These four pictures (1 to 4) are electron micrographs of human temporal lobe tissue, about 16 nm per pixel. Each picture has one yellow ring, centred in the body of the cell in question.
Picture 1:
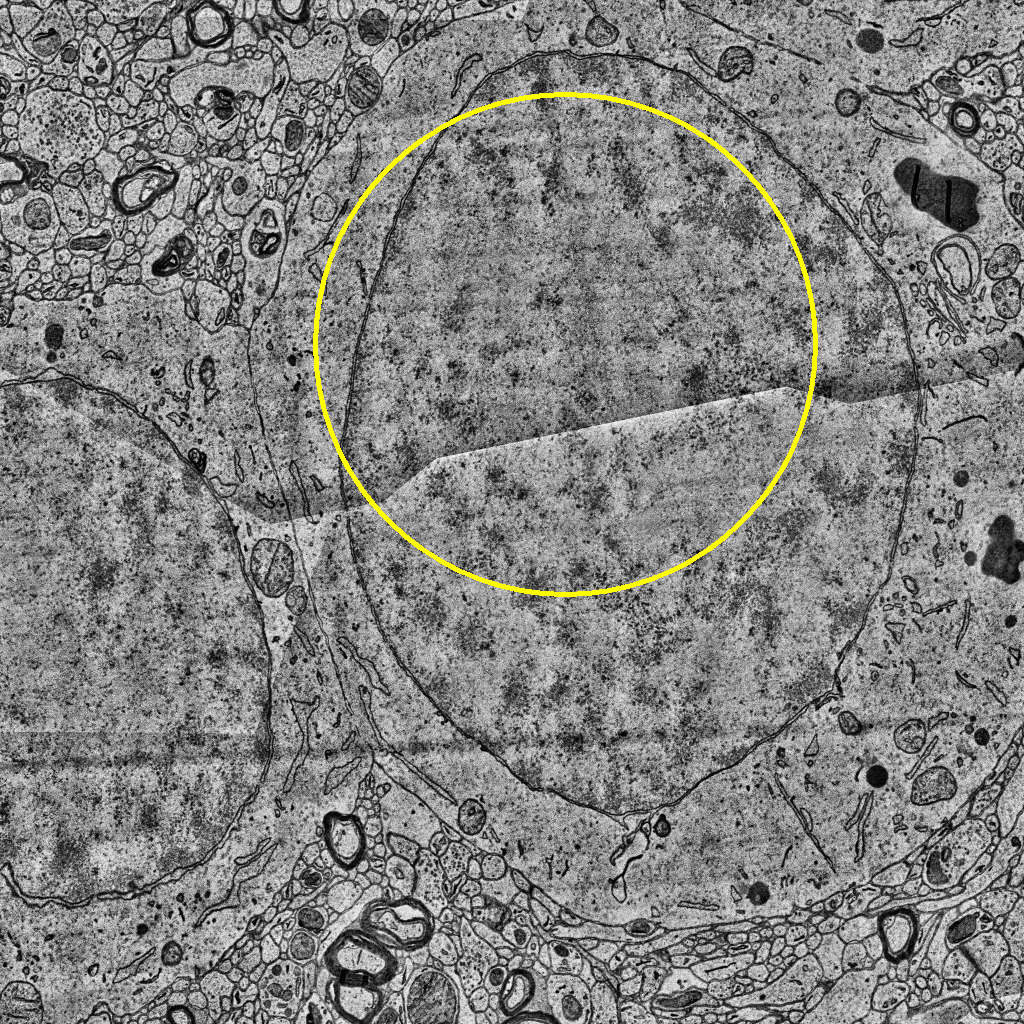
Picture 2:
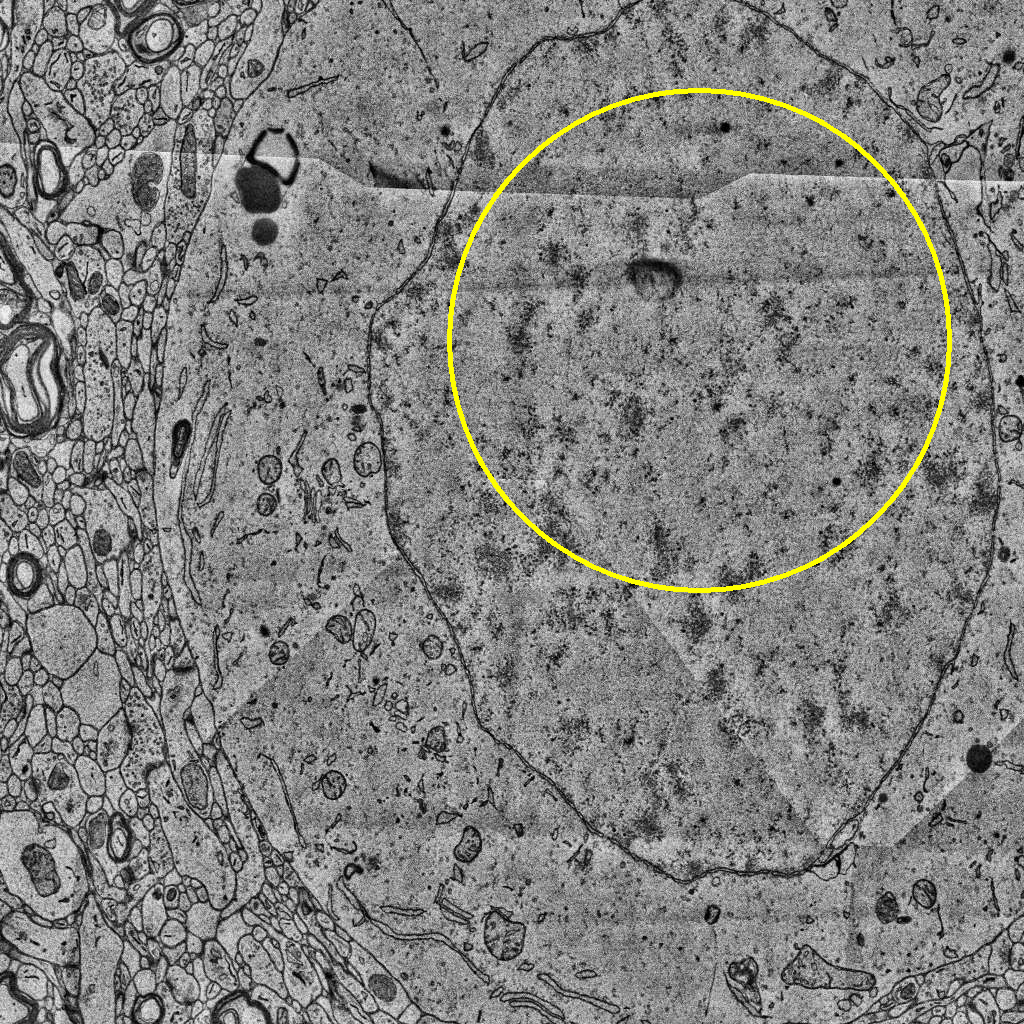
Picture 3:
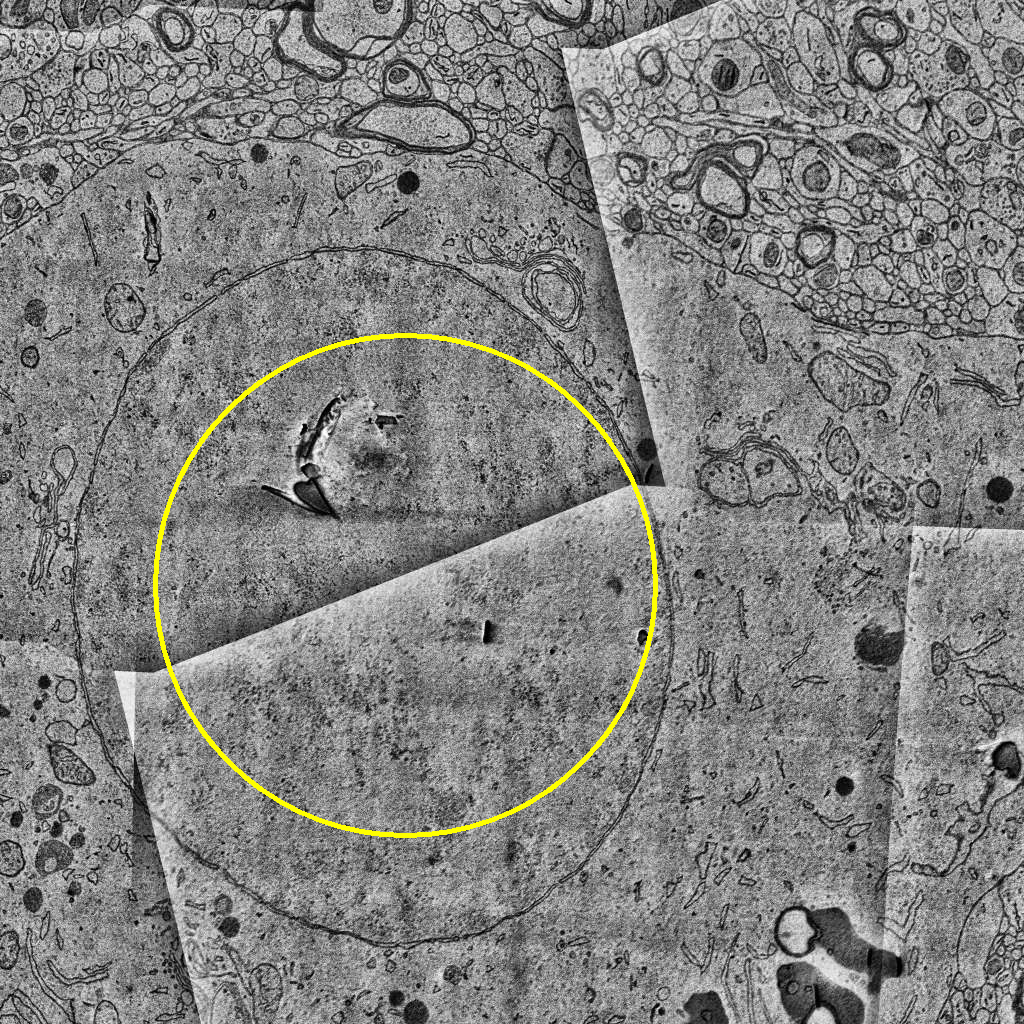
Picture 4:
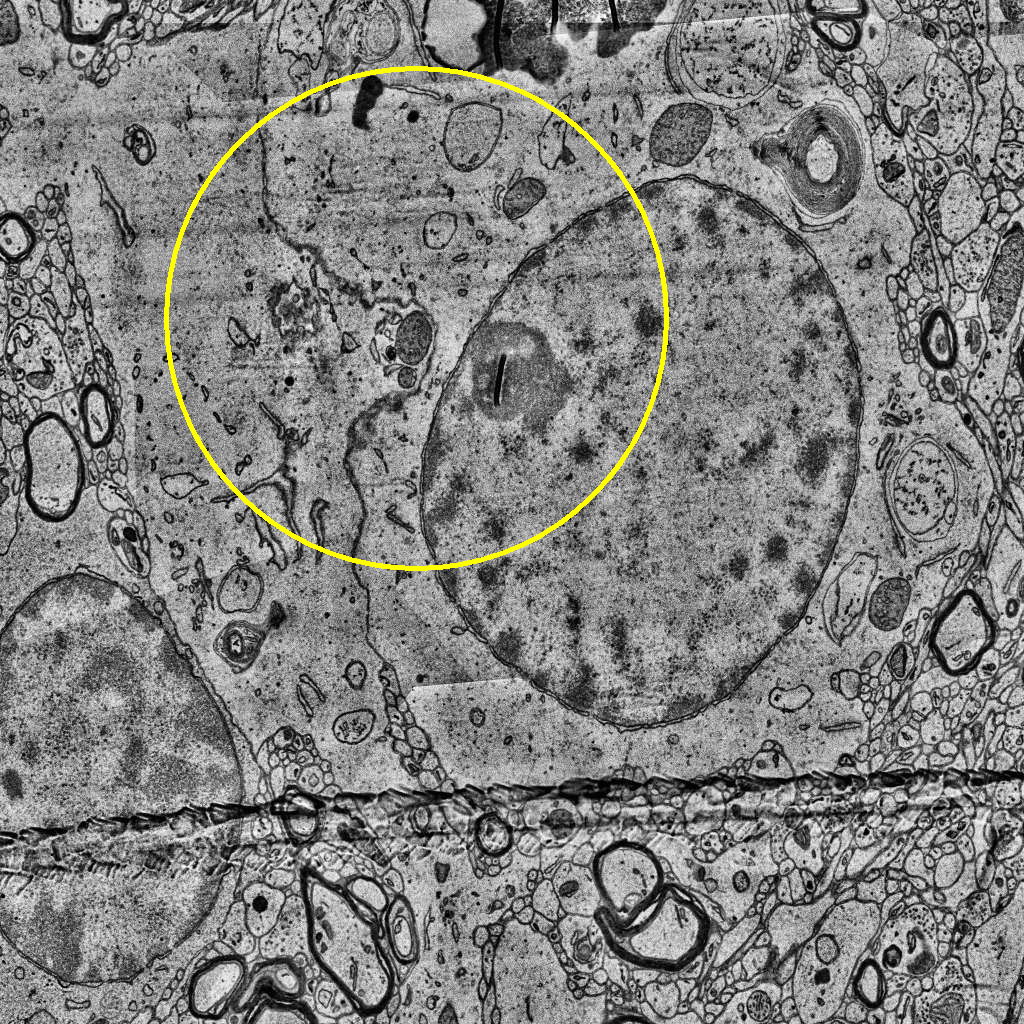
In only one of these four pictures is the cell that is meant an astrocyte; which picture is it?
It is picture 4 that shows the astrocyte.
